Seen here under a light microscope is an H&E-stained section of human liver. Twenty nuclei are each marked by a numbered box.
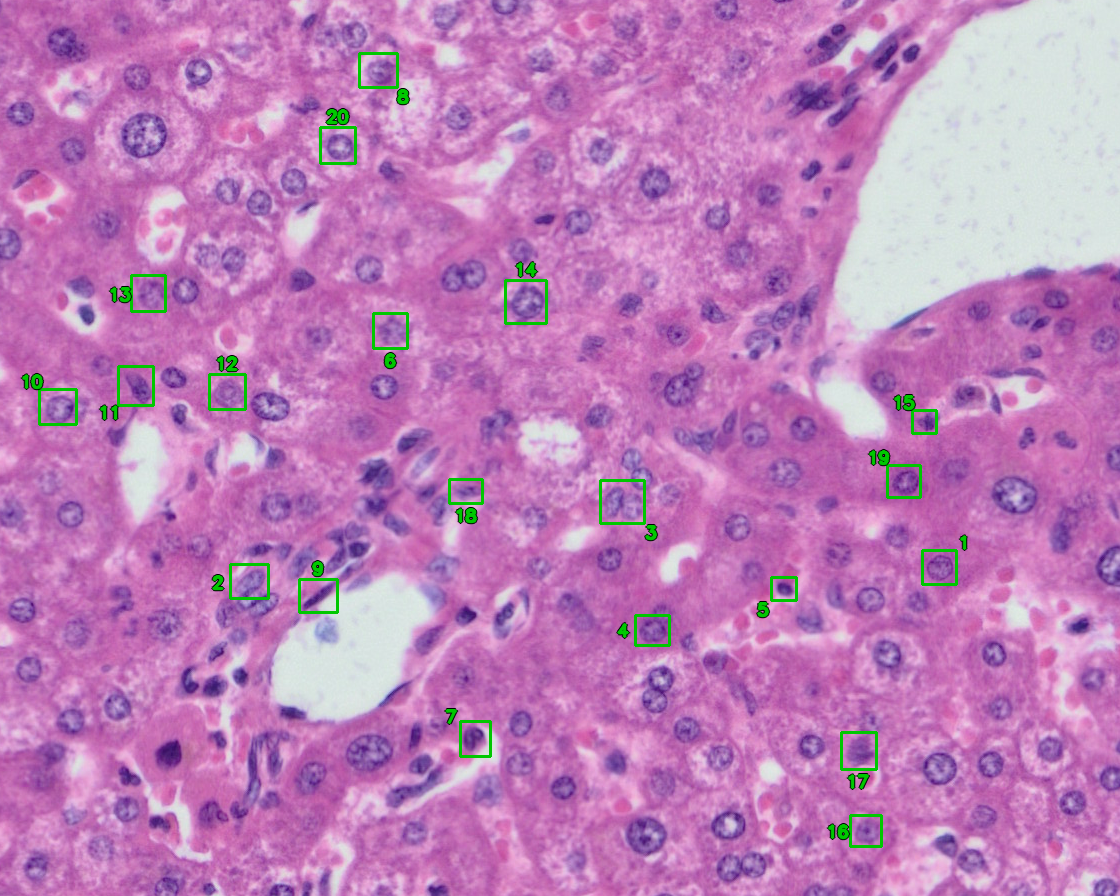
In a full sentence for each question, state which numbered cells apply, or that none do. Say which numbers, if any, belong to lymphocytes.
Only the cell marked 5 is a lymphocyte.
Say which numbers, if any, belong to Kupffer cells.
Only the cell numbered 7 is a Kupffer cell; none of the others is.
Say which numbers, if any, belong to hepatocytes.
In short, the numbered cells 1, 4, 6, 8, 10, 12, 13, 14, 16, 19 and 20 are hepatocytes.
